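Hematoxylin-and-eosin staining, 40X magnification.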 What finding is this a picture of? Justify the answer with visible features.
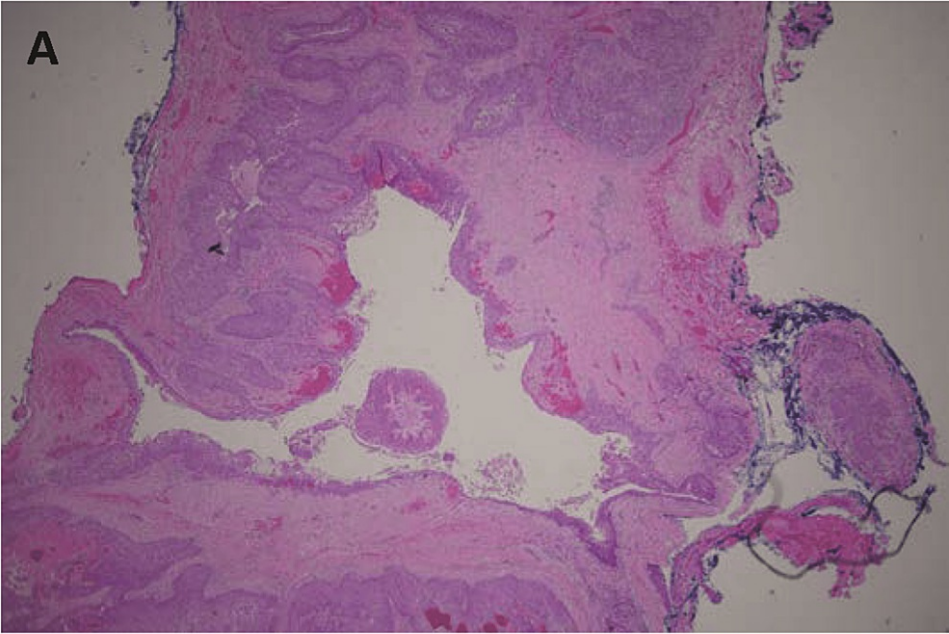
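Cystic tumor with deep invaginations. A large empty central space is surrounded by tissue. The lining of the space folds deeply into the surrounding tissue. Purple nests of cells are set in paler pink tissue around the space.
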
